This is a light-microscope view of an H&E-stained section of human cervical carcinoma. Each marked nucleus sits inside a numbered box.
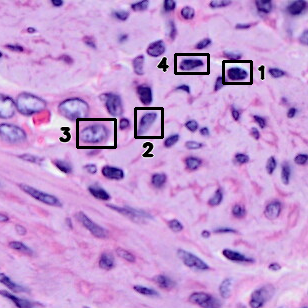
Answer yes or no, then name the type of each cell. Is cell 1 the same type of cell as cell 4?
Yes, and to be precise, cells 1 and 4 are both lymphocytes.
